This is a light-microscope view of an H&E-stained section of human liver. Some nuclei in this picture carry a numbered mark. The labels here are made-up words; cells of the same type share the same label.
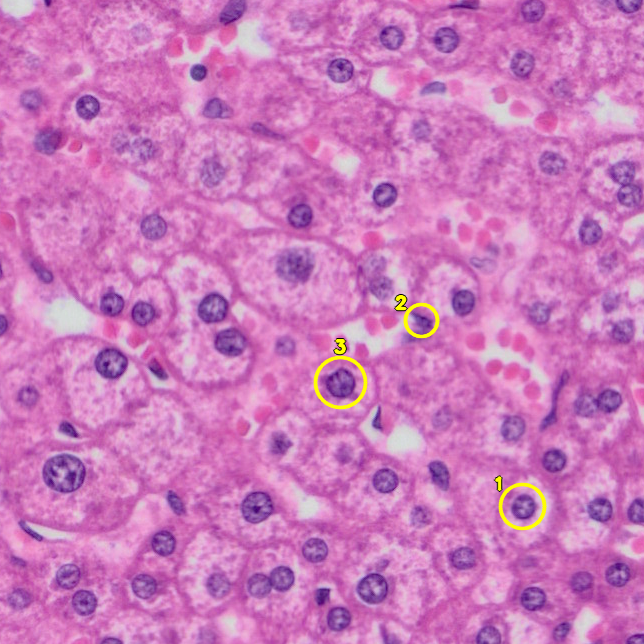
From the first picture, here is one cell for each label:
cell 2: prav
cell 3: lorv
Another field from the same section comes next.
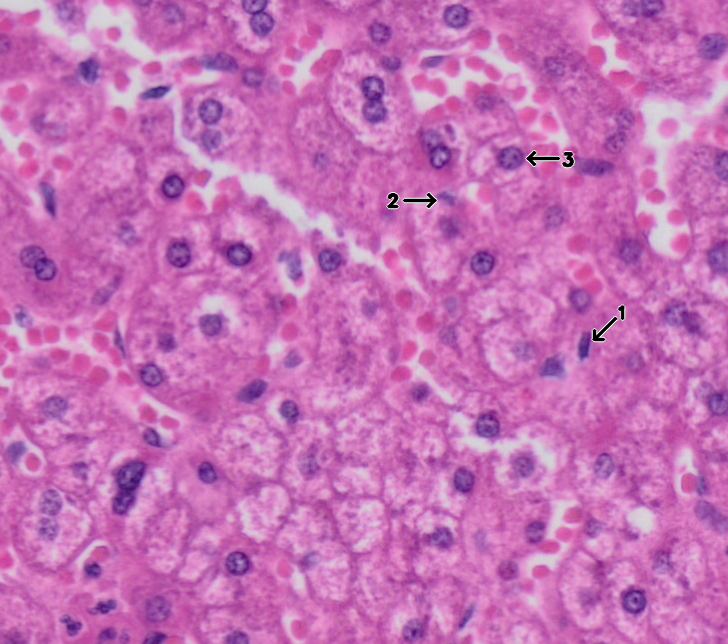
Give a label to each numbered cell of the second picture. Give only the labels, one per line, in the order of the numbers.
prav
prav
lorv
